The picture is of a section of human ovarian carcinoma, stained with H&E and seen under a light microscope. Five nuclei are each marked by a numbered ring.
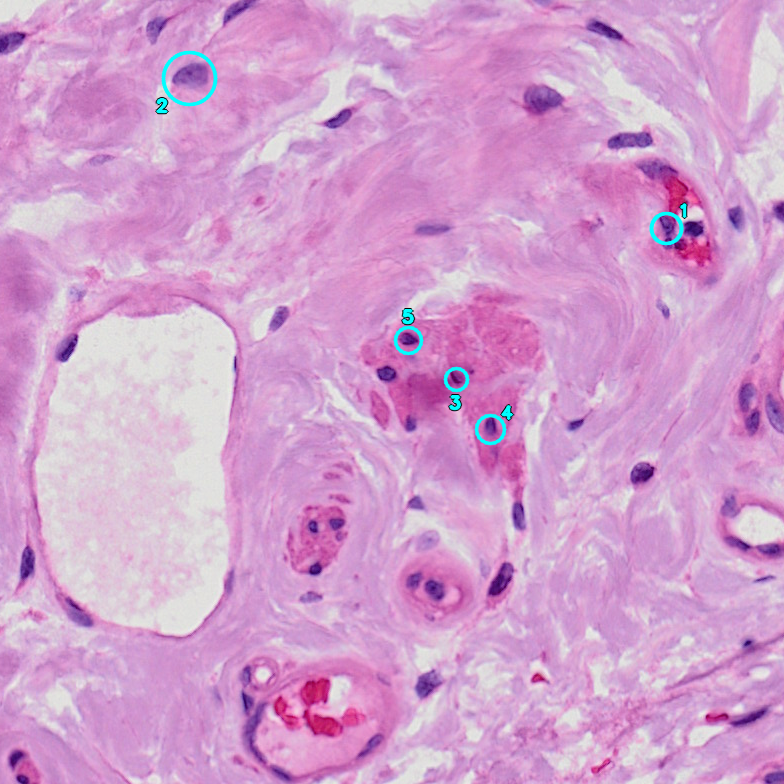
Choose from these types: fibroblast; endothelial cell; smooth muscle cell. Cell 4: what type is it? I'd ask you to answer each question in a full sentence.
The cell numbered 4 represents a smooth muscle cell.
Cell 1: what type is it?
Identified by the number 1, the cell is an endothelial cell.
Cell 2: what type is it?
The cell with the number 2 is a fibroblast.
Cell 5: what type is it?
The numbered cell 5 is identified here as a smooth muscle cell.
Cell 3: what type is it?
The cell that goes by number 3 is a smooth muscle cell.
